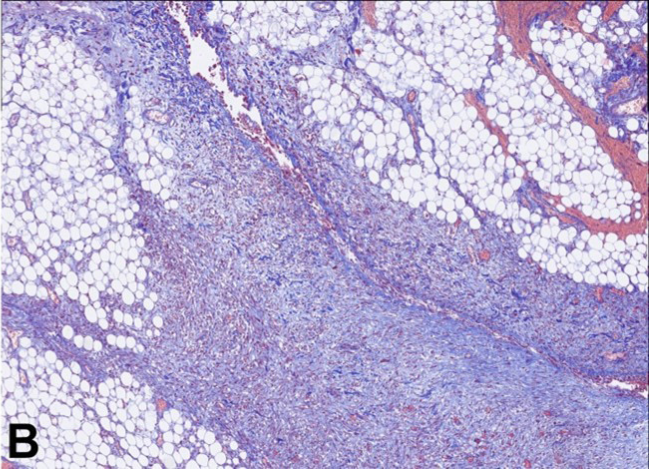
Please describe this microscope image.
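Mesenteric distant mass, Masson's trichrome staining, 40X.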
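Adipose tissue is crossed by a broad diagonal band of dense fibrous tissue stained blue, with fibrous strands of varying thickness extending between the fat lobules. The fat cells appear as large clear vacuoles with thin septa, while the fibrous band holds many spindle-shaped nuclei. Small red foci are scattered within the fibrous band, and red bundles lie along the upper right edge.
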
